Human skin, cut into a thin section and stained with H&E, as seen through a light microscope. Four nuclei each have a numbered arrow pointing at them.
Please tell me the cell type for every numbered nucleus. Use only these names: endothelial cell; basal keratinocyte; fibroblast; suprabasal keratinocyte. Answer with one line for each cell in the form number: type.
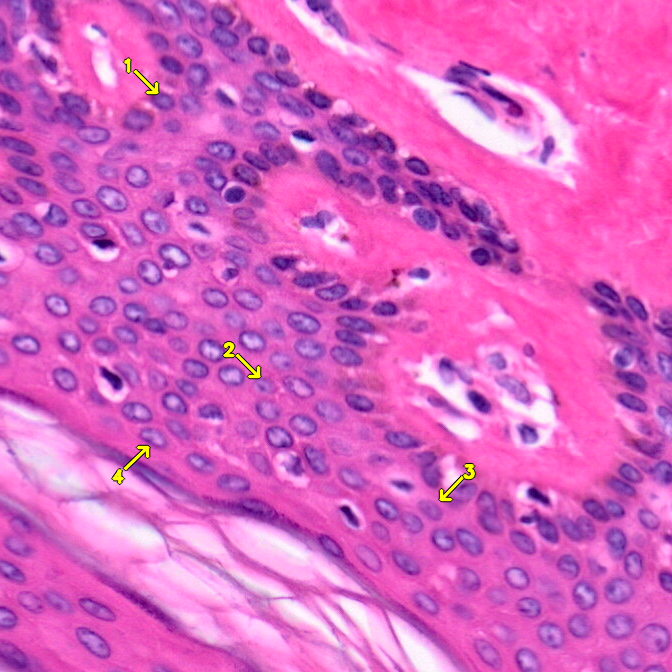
1: basal keratinocyte
2: suprabasal keratinocyte
3: suprabasal keratinocyte
4: suprabasal keratinocyte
